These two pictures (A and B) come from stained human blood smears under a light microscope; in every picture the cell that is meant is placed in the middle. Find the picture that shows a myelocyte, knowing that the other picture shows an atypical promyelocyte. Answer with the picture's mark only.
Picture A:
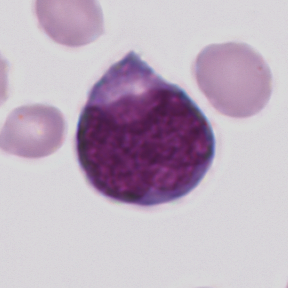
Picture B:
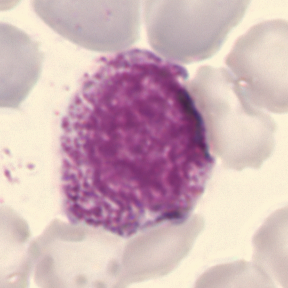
B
